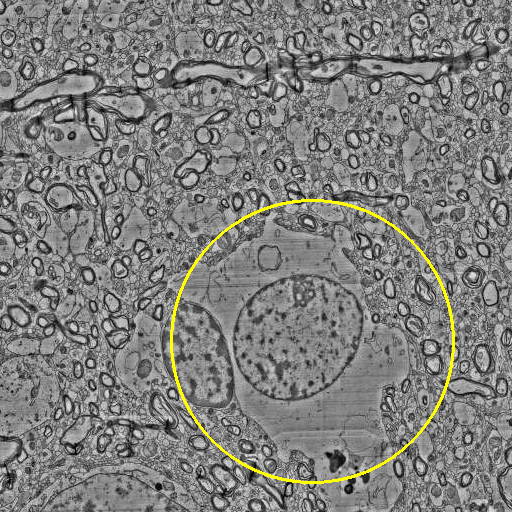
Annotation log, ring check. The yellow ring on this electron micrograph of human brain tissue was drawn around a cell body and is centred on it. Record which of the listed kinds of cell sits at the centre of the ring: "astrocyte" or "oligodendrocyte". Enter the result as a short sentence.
The cell at the centre of the ring is an astrocyte.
